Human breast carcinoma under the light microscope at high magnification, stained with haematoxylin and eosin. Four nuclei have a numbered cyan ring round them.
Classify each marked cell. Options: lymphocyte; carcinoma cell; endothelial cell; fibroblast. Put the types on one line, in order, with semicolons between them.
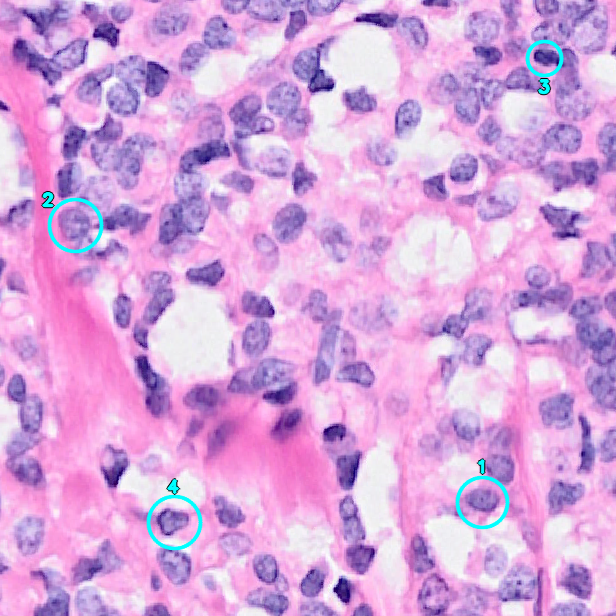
carcinoma cell; carcinoma cell; lymphocyte; carcinoma cell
